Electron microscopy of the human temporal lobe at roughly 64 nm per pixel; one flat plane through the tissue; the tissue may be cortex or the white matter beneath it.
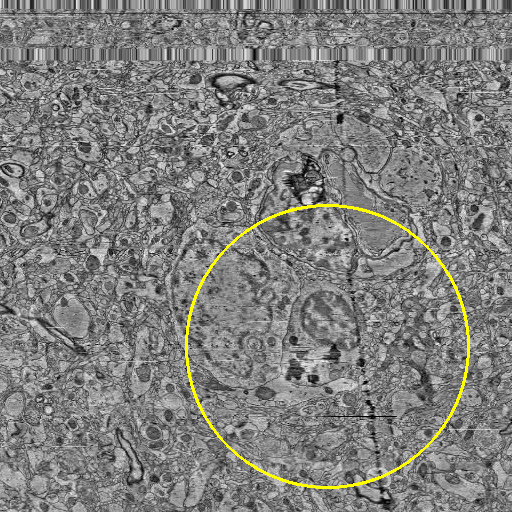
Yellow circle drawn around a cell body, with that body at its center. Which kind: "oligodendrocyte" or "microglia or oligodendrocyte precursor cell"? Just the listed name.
oligodendrocyte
